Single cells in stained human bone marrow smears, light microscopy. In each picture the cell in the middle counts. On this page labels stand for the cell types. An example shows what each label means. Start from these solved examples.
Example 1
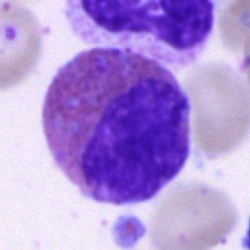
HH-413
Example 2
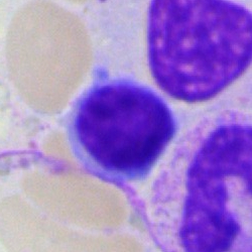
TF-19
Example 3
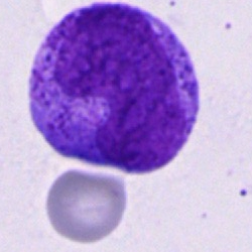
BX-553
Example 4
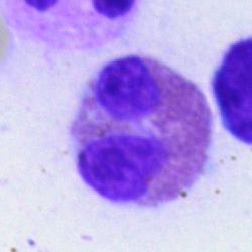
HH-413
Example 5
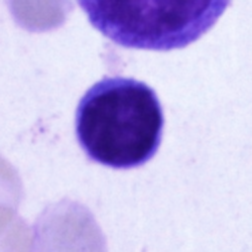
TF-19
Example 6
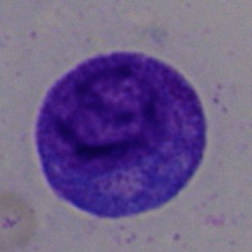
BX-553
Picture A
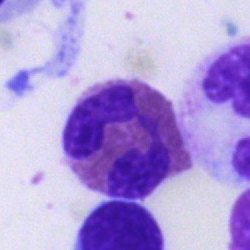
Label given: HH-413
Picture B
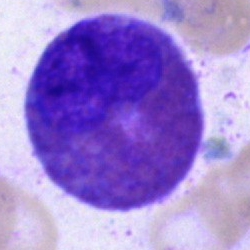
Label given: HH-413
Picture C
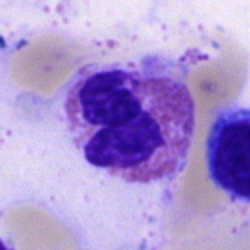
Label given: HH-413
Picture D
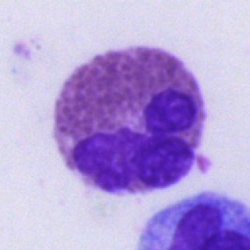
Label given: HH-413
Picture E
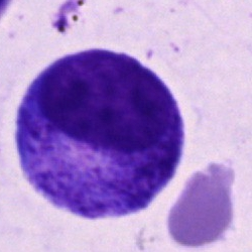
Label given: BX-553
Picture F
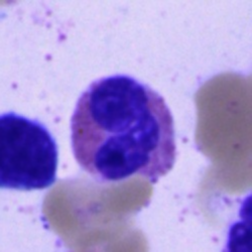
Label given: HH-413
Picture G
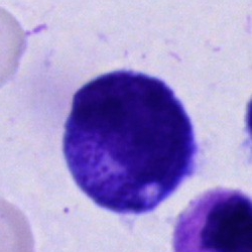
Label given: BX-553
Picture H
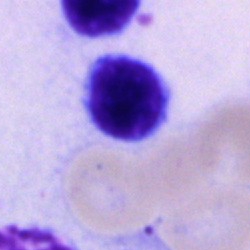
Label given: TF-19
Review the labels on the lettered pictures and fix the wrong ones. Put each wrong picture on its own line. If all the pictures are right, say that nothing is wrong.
All labels are correct.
